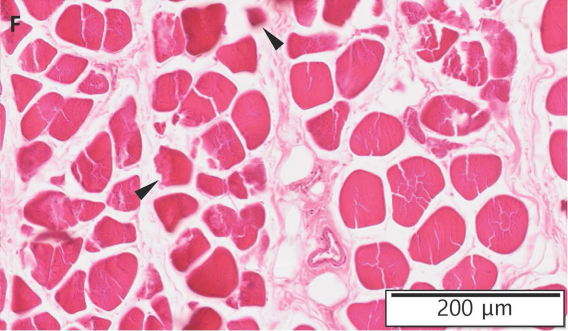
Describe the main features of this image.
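This is skeletal muscle in cross-section in which many fibers are hypereosinophilic and atrophied. Fibers vary in size: some are large and rounded, others small, angular and stained a deeper red. The fibers are separated by wide clear spaces and loose pale connective tissue strands. Small blood vessels run in the connective tissue between fiber groups. Some fibers show fine cracks or irregular pale areas within the cytoplasm.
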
